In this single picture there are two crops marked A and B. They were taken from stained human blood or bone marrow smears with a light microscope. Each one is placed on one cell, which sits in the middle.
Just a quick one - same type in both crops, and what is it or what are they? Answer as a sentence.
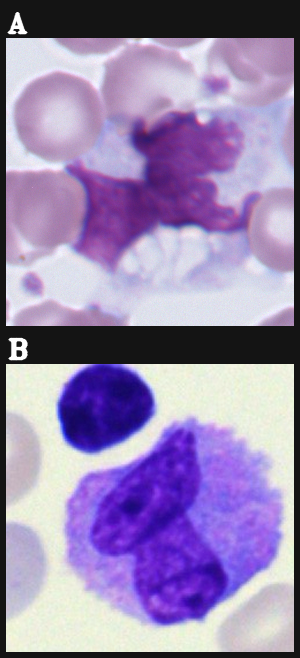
Yes, the two crops show monocytes at their centres.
